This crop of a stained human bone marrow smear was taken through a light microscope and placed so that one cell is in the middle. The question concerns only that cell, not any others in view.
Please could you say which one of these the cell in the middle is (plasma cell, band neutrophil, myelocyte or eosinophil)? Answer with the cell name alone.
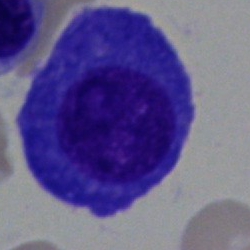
plasma cell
